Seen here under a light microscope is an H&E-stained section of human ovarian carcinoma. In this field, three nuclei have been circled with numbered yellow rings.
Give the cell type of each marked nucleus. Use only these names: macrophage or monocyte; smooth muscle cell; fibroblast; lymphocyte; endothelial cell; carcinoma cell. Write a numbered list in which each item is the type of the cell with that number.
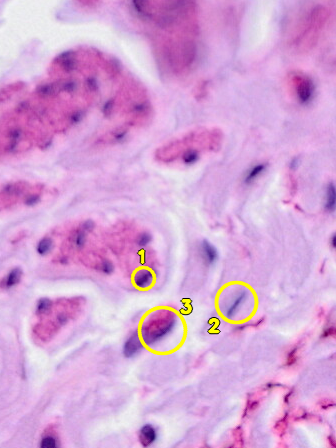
1. smooth muscle cell
2. fibroblast
3. endothelial cell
